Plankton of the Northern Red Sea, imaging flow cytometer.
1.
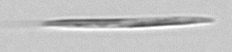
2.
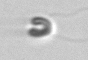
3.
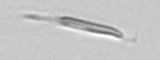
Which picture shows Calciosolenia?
Picture 3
